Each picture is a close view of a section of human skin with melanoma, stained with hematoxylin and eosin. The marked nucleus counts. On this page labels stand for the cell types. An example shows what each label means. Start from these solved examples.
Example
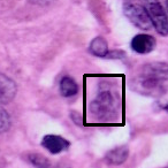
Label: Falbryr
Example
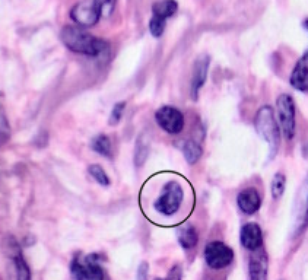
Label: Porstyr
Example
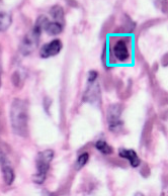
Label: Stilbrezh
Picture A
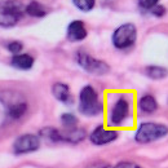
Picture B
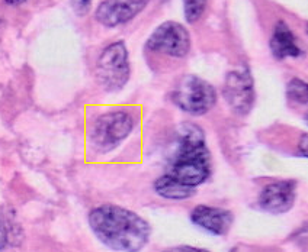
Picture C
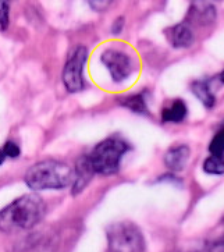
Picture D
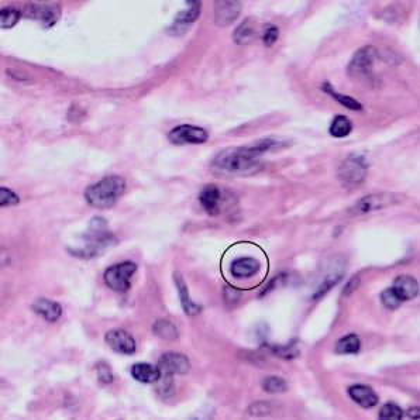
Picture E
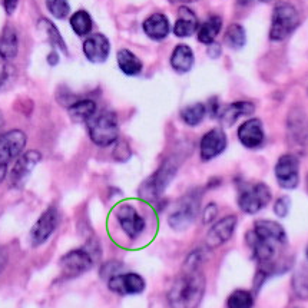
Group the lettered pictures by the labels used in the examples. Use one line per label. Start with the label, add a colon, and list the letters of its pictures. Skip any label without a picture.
Falbryr: B, C
Porstyr: A, D, E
